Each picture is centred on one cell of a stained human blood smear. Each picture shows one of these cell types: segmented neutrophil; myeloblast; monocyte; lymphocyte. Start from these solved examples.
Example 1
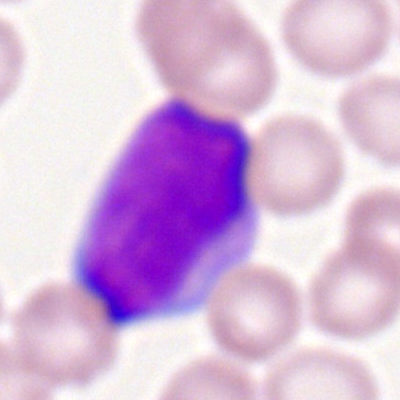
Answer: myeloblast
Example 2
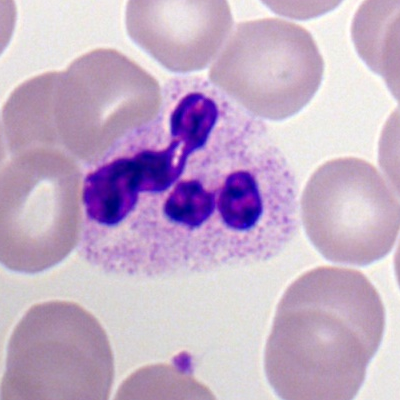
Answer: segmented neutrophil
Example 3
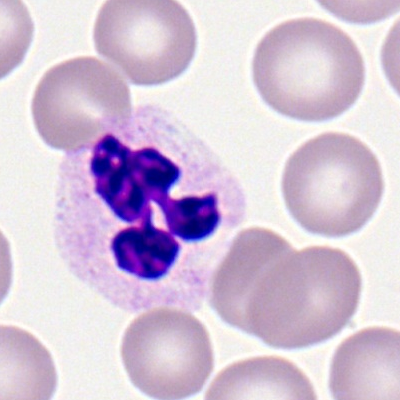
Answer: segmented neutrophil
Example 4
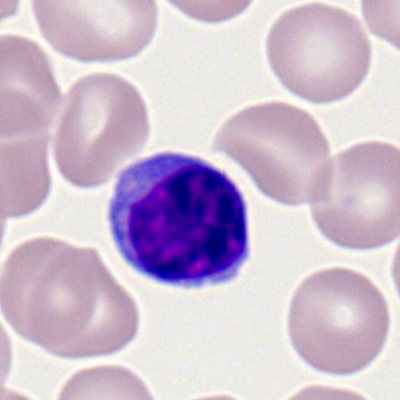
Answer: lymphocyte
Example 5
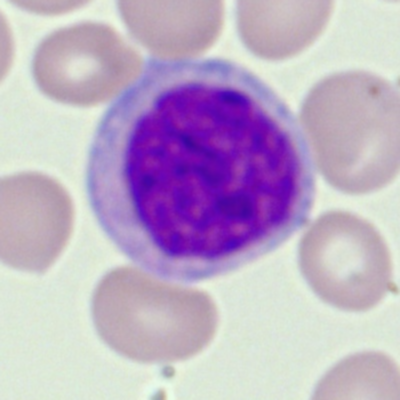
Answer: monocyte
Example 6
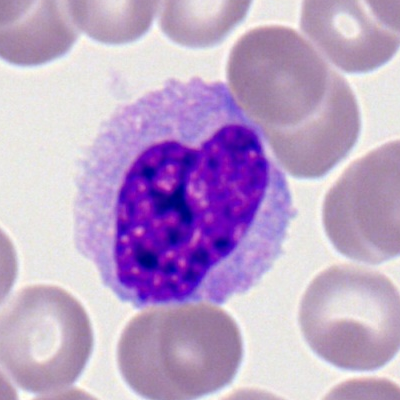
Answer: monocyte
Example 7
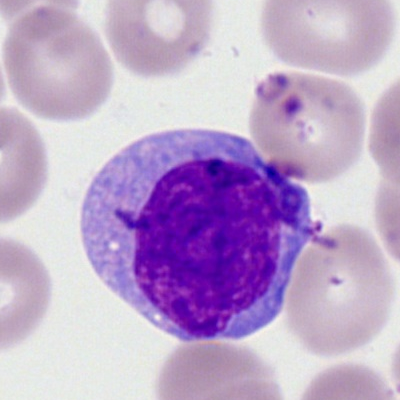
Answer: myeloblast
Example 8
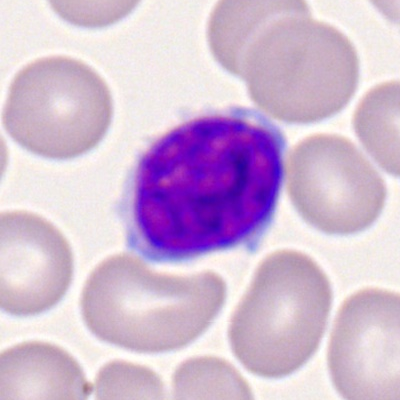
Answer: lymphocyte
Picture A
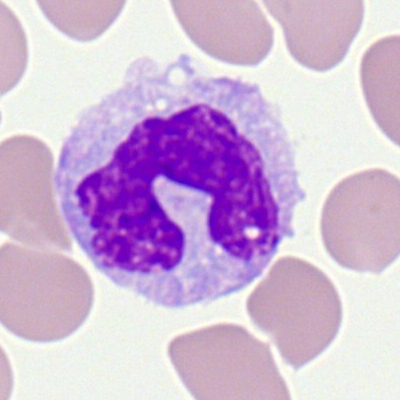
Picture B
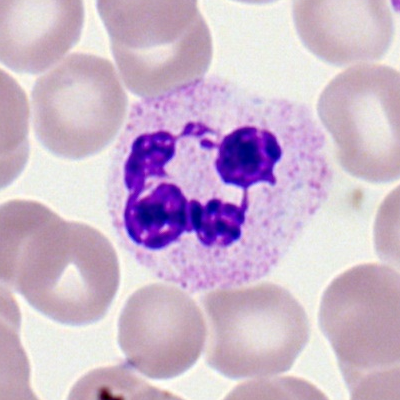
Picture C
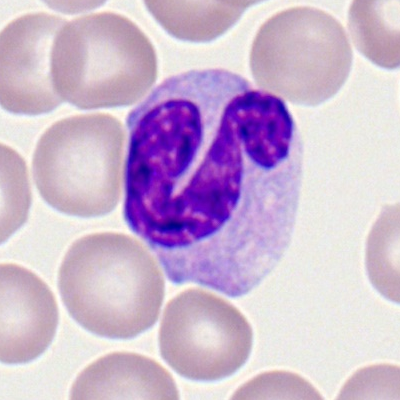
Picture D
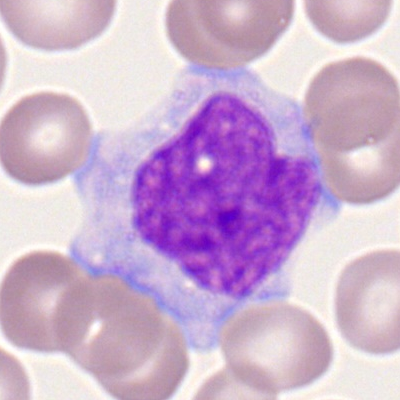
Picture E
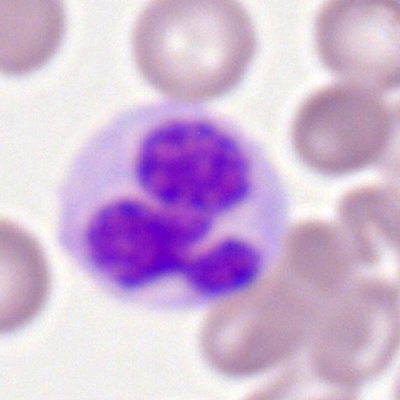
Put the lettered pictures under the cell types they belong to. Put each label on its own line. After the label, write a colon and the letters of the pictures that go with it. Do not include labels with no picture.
segmented neutrophil: B
monocyte: A, C, D, E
